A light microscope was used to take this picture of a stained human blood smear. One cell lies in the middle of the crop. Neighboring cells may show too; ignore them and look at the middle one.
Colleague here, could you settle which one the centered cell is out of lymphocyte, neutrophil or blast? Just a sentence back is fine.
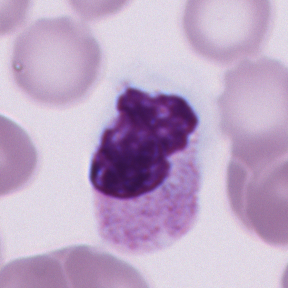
Present in the middle of the crop is a neutrophil.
